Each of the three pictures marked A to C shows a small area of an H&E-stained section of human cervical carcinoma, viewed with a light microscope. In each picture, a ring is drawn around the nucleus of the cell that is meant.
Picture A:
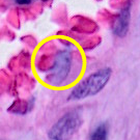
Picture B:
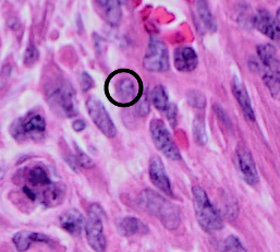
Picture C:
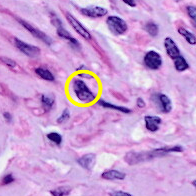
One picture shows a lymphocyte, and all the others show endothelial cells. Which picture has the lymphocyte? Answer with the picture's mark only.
C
